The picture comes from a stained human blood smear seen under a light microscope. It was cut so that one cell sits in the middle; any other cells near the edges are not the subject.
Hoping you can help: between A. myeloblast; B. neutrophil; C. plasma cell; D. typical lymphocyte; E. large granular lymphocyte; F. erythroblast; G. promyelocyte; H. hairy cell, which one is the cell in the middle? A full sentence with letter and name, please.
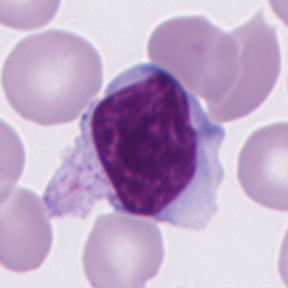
The cell centred in the crop is a large granular lymphocyte, and the correct option is thus E.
